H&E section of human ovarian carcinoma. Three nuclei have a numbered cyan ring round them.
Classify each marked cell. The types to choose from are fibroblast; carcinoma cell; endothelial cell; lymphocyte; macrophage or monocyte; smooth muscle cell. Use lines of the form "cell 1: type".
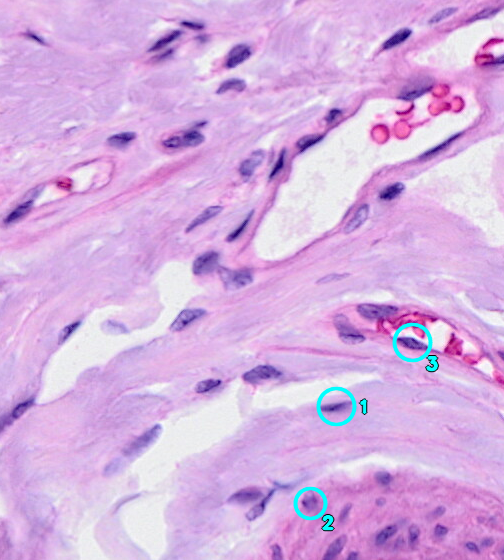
cell 1: fibroblast
cell 2: smooth muscle cell
cell 3: endothelial cell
